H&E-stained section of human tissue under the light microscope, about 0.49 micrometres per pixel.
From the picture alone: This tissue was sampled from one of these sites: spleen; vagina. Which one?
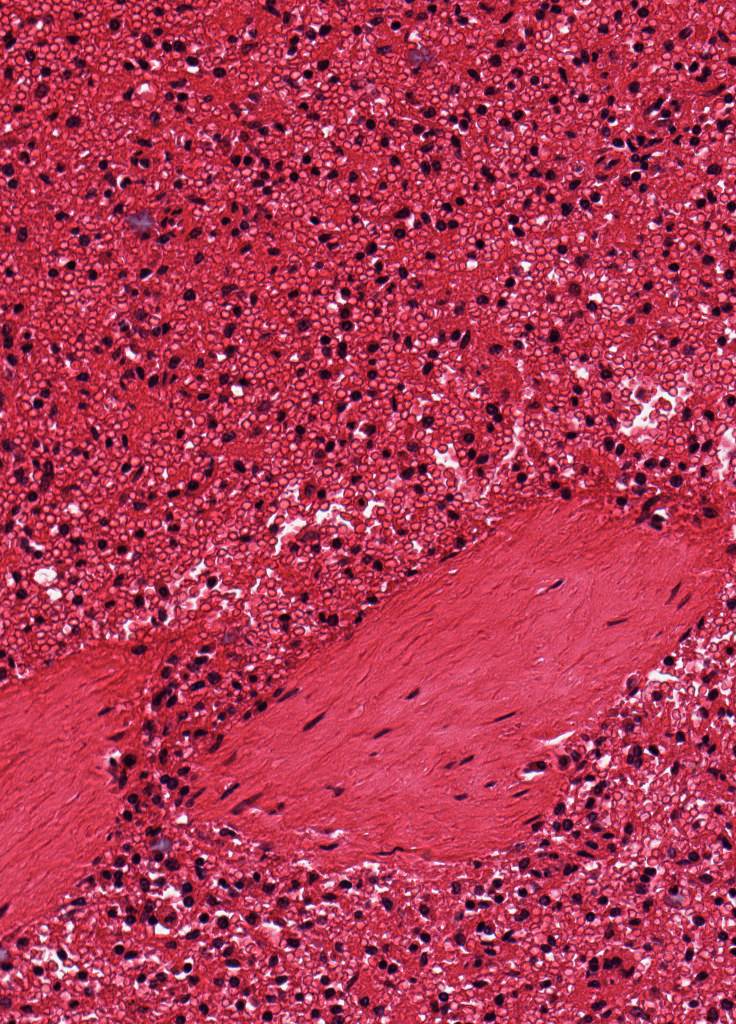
spleen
